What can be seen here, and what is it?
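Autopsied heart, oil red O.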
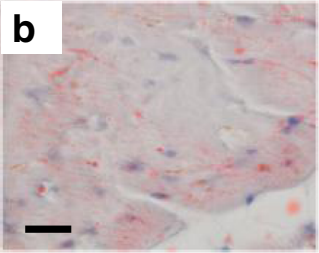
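This is cardiac muscle, with large cardiomyocytes whose pale pink cytoplasm is dotted with many small red droplets. Oval purplish nuclei lie within the cells, and the droplets are scattered through the cytoplasm rather than clustered in one place.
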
